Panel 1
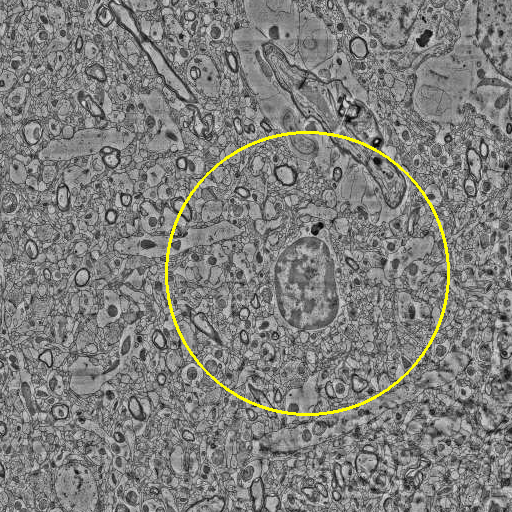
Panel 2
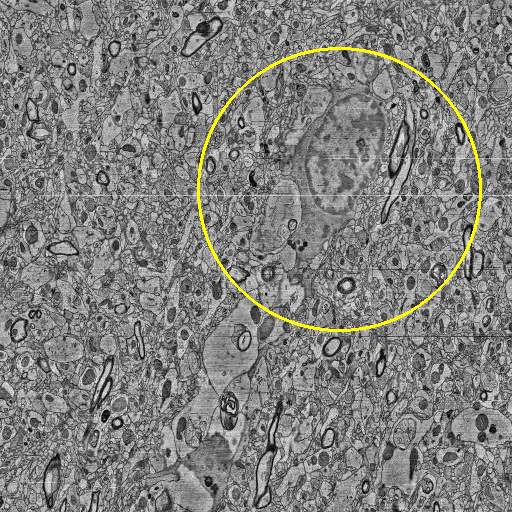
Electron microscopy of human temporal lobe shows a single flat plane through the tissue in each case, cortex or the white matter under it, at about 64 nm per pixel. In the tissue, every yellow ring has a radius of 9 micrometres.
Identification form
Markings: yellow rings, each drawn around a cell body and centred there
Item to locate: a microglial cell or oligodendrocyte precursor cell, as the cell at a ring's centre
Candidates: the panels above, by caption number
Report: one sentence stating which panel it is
It is Panel 1.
